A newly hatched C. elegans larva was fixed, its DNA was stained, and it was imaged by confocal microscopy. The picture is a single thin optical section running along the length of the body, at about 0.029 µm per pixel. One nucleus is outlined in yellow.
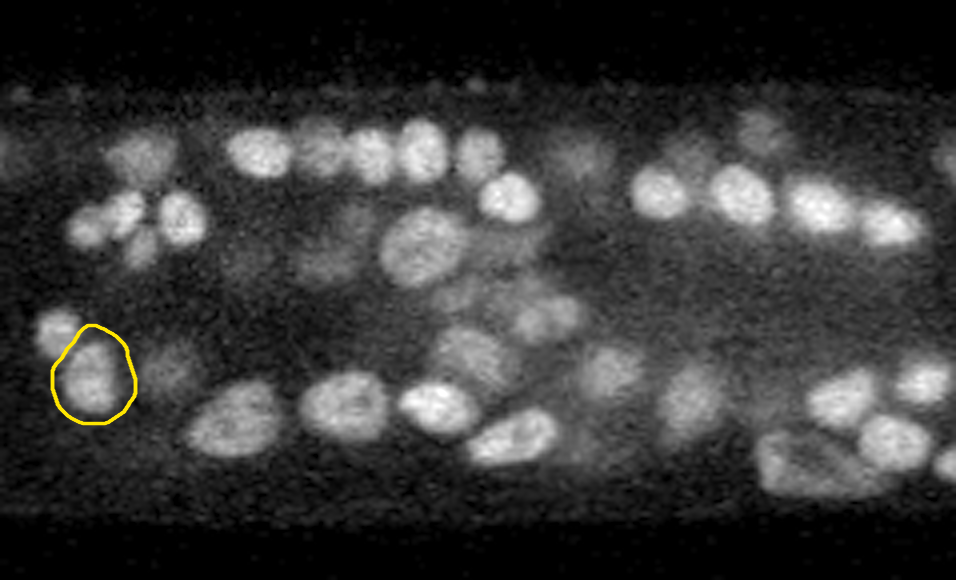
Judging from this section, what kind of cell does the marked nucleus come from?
valve cell of the gut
